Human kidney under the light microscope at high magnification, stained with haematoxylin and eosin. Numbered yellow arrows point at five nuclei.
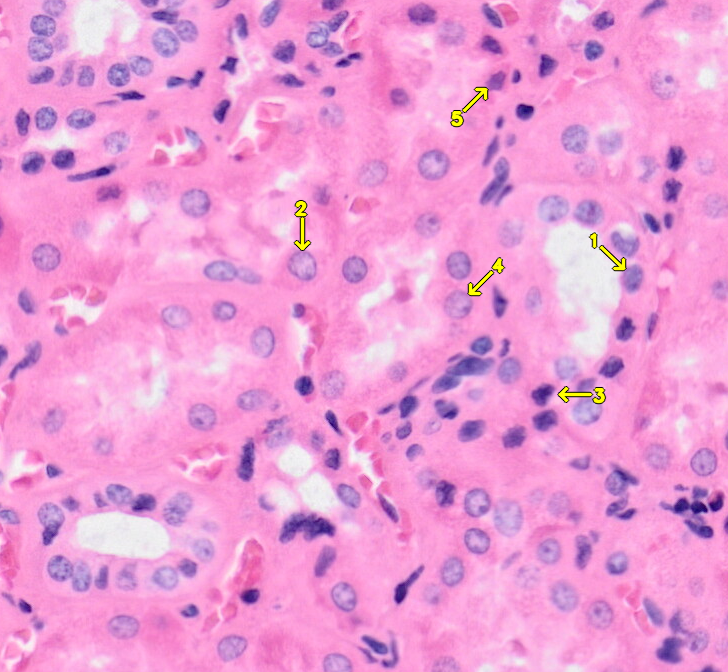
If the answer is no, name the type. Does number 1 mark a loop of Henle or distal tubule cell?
Yes.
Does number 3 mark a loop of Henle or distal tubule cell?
Yes.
